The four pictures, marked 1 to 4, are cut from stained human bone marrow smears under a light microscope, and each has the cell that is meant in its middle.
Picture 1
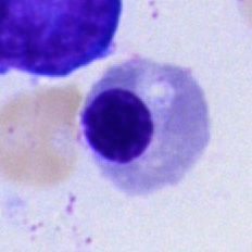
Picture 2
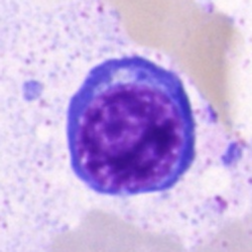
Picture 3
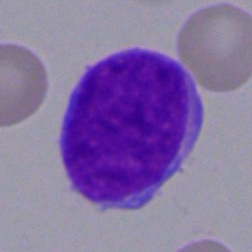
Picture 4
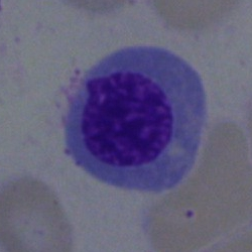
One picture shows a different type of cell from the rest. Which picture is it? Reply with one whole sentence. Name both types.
Picture 3 differs, because its cell is a blast and the rest are erythroblasts.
